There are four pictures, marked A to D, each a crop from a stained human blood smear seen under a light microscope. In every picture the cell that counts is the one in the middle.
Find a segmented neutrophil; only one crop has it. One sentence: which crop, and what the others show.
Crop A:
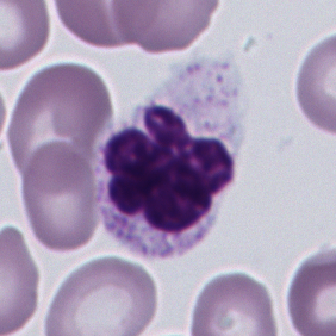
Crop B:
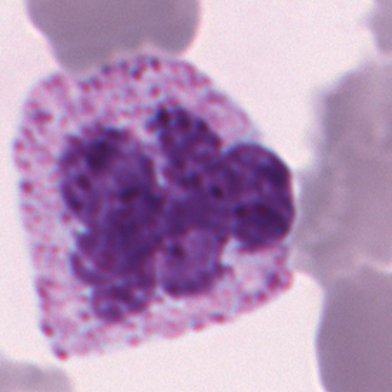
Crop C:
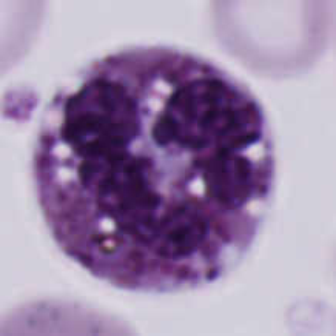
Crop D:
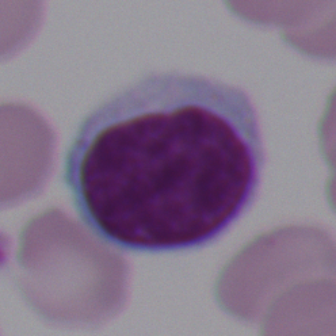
Crop A corresponds to a segmented neutrophil, whereas crop B is a basophil, crop C is an eosinophil and crop D is a typical lymphocyte.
